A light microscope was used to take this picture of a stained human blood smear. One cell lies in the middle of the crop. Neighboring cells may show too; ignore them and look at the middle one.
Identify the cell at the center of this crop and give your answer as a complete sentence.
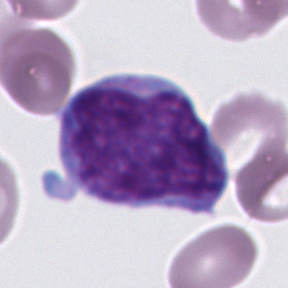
As for the cell in the middle, it is an atypical promyelocyte.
